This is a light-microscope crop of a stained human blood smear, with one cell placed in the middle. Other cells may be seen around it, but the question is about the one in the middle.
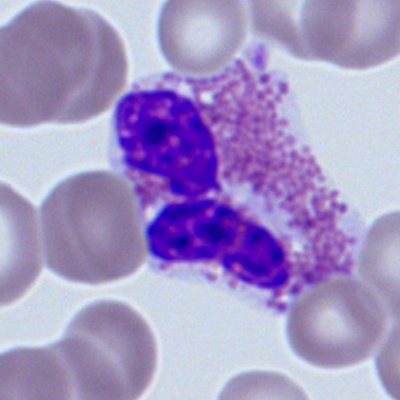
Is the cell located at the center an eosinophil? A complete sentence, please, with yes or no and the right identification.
Yes, the cell that lies centrally is an eosinophil.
